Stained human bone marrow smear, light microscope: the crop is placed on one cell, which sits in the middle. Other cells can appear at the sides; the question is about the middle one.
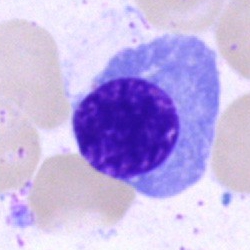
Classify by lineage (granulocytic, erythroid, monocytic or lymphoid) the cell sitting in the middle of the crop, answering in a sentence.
Classified by lineage, the middle cell is erythroid.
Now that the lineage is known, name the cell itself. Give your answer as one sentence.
The cell in the middle of this crop is an erythroblast.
